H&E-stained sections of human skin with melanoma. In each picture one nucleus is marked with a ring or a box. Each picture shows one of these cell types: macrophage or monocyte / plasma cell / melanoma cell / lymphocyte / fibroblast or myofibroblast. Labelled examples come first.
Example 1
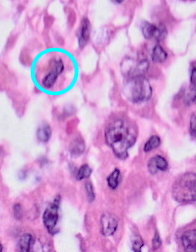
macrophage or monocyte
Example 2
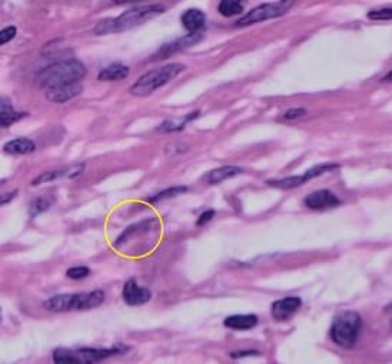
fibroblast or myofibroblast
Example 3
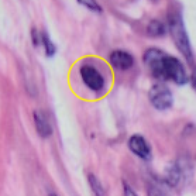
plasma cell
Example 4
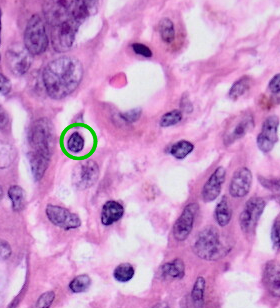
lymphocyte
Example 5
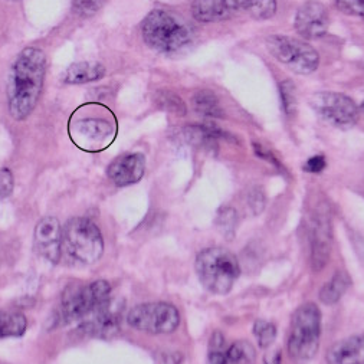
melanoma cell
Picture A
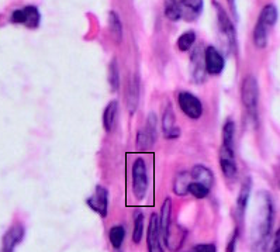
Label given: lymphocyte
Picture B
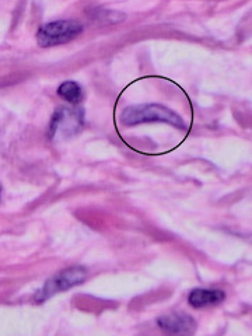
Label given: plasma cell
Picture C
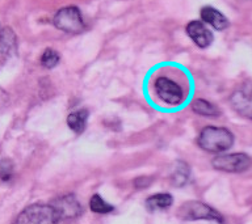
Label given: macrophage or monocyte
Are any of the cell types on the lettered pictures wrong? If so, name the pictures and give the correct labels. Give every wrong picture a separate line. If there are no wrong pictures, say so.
B: change plasma cell to fibroblast or myofibroblast
C: change macrophage or monocyte to plasma cell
